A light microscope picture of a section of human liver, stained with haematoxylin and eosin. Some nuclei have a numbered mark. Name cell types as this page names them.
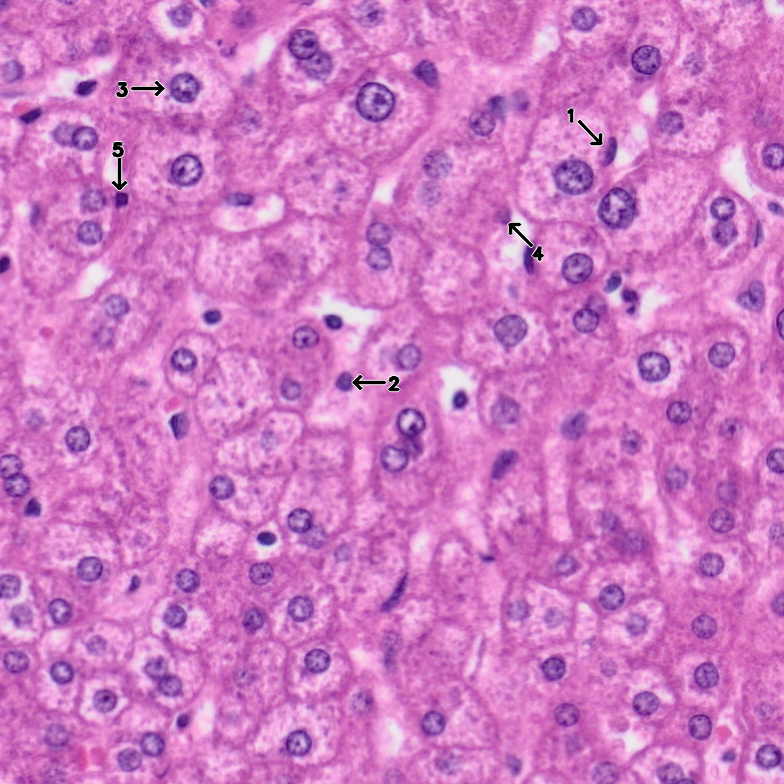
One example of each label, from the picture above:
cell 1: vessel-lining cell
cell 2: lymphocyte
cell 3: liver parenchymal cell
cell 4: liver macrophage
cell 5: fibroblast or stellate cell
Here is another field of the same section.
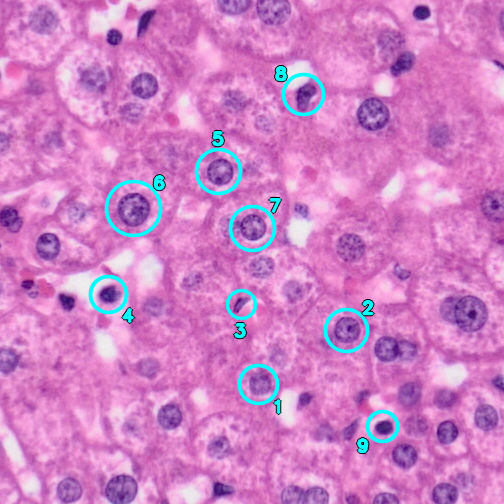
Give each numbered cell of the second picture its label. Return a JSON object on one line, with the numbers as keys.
{"1": "liver parenchymal cell", "2": "liver parenchymal cell", "3": "vessel-lining cell", "4": "lymphocyte", "5": "liver parenchymal cell", "6": "liver parenchymal cell", "7": "liver parenchymal cell", "8": "liver macrophage", "9": "lymphocyte"}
